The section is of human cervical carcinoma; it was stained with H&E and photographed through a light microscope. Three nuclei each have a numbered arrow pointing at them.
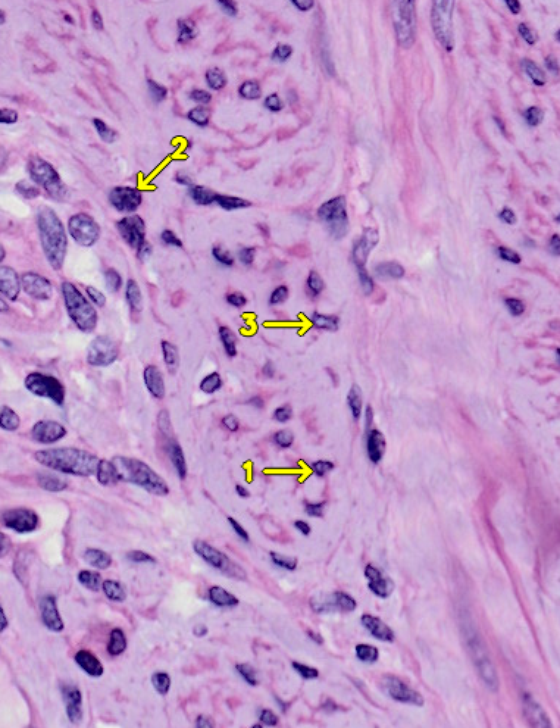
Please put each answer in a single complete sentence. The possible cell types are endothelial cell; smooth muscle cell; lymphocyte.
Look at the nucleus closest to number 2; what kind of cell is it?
The nearest nucleus to number 2 belongs to a lymphocyte.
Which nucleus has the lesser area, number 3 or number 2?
The smaller nucleus is 3, and 2 covers roughly 2.5 times its area.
